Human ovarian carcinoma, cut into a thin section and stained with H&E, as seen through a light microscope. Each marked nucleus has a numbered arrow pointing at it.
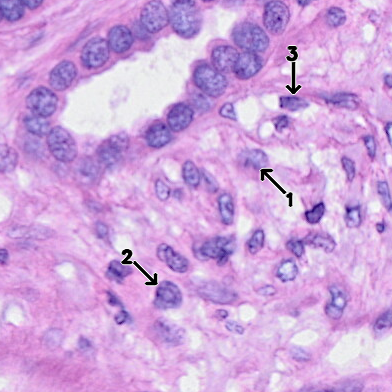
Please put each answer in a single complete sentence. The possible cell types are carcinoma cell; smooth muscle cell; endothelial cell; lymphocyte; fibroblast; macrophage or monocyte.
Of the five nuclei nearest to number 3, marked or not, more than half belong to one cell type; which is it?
Most of the five nuclei nearest to number 3 are those of fibroblasts.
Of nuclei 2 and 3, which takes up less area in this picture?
Nucleus 3 is the smaller one; nucleus 2 covers about 1.5 times its area.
